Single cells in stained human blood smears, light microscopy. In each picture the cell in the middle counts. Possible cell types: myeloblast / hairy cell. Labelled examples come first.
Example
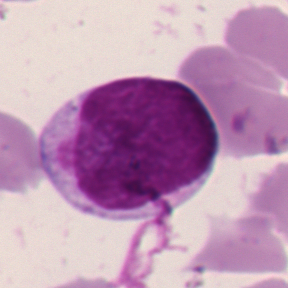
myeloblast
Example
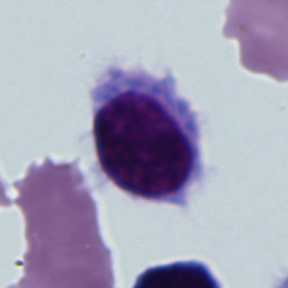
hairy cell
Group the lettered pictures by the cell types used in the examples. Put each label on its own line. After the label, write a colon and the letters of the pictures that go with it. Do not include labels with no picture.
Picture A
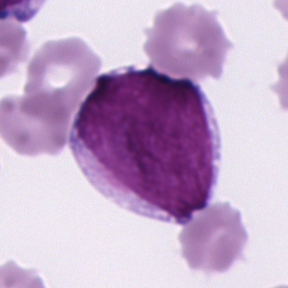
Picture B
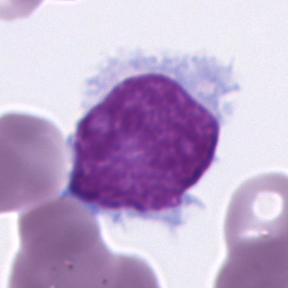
myeloblast: A
hairy cell: B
